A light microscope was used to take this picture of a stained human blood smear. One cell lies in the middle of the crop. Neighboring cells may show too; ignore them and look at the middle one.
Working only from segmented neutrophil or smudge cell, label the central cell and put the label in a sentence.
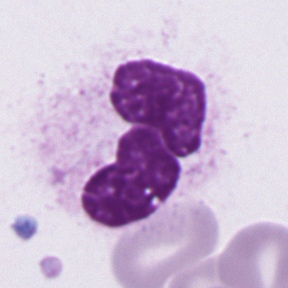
Answering briefly, the cell in the middle is a segmented neutrophil.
